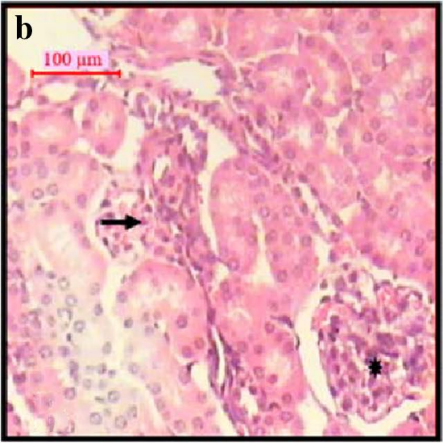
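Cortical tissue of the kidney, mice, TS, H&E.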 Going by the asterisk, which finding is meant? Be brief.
Congestion and hypercellularity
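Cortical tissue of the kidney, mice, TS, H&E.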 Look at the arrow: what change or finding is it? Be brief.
Inflammatory infiltration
